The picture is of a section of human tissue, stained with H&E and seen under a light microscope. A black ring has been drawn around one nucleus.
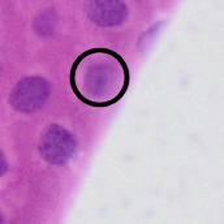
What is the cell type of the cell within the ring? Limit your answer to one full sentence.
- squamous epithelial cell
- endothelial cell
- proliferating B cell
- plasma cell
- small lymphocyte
Placed in its cell category, the cell within the ring is a squamous epithelial cell.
